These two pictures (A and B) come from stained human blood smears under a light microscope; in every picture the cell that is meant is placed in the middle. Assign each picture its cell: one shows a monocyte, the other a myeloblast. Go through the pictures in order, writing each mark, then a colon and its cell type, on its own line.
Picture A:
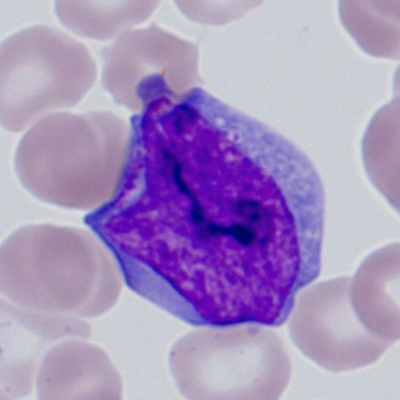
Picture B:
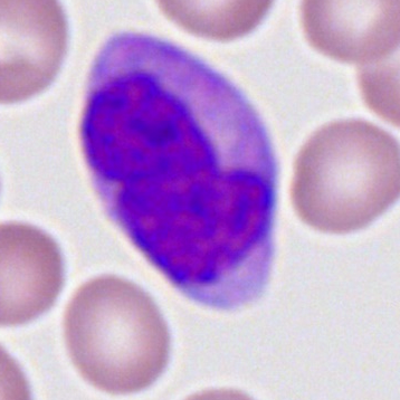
A: myeloblast
B: monocyte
